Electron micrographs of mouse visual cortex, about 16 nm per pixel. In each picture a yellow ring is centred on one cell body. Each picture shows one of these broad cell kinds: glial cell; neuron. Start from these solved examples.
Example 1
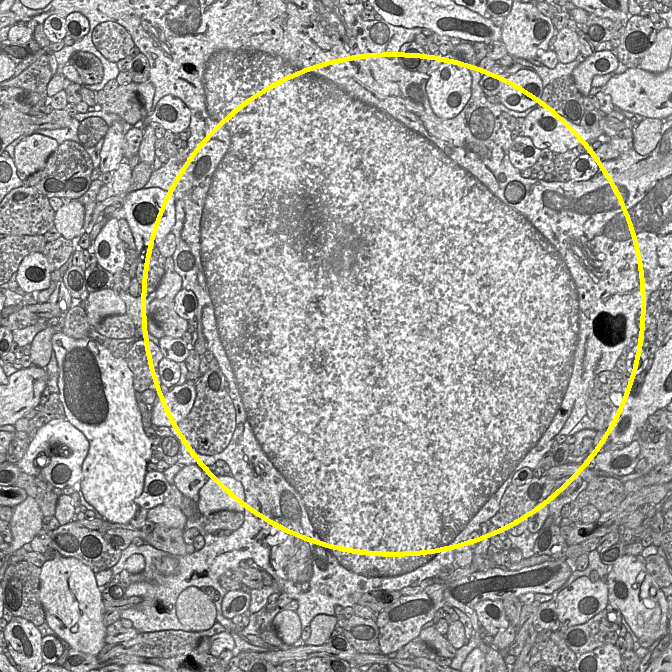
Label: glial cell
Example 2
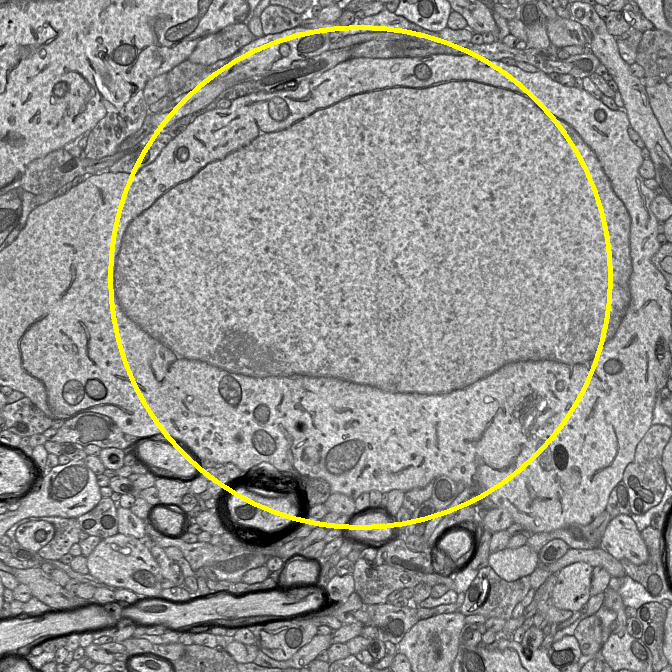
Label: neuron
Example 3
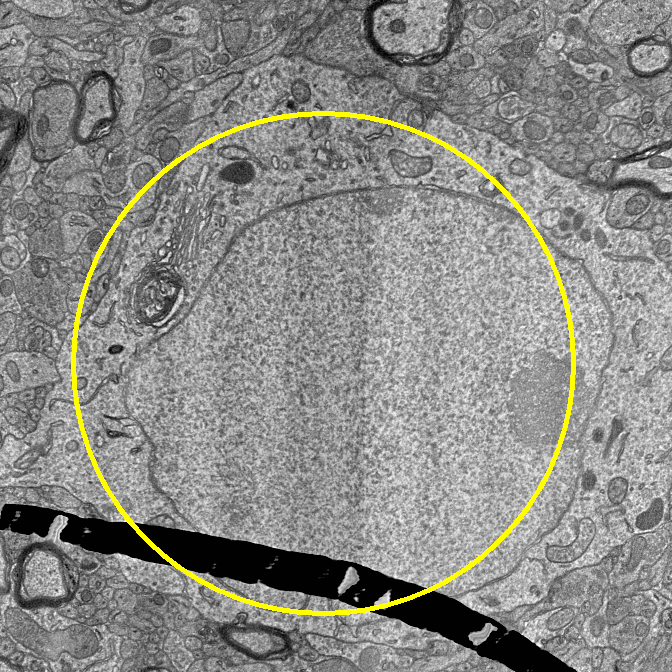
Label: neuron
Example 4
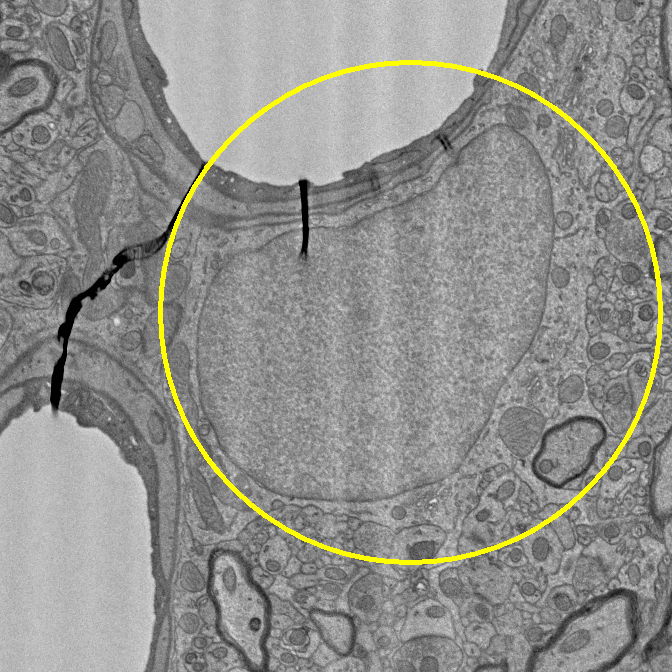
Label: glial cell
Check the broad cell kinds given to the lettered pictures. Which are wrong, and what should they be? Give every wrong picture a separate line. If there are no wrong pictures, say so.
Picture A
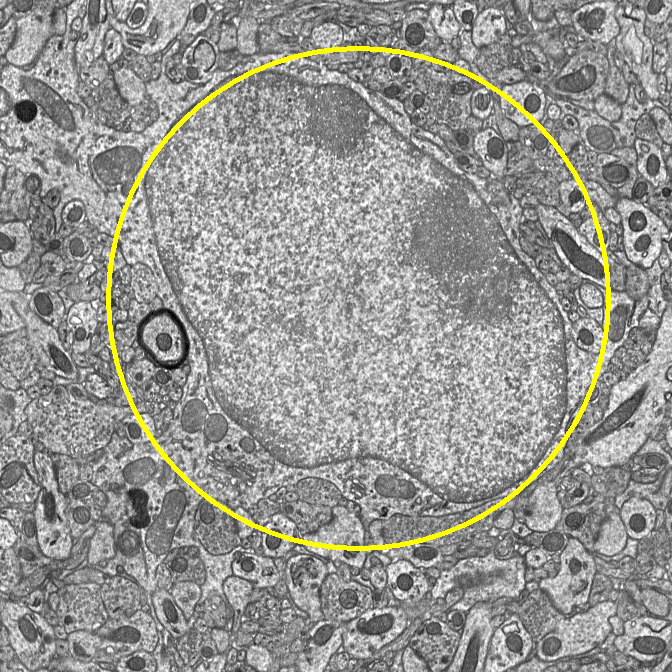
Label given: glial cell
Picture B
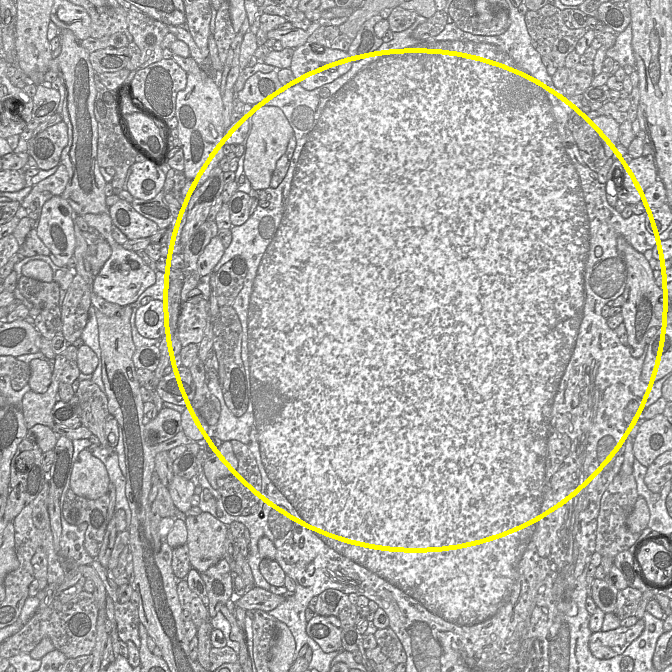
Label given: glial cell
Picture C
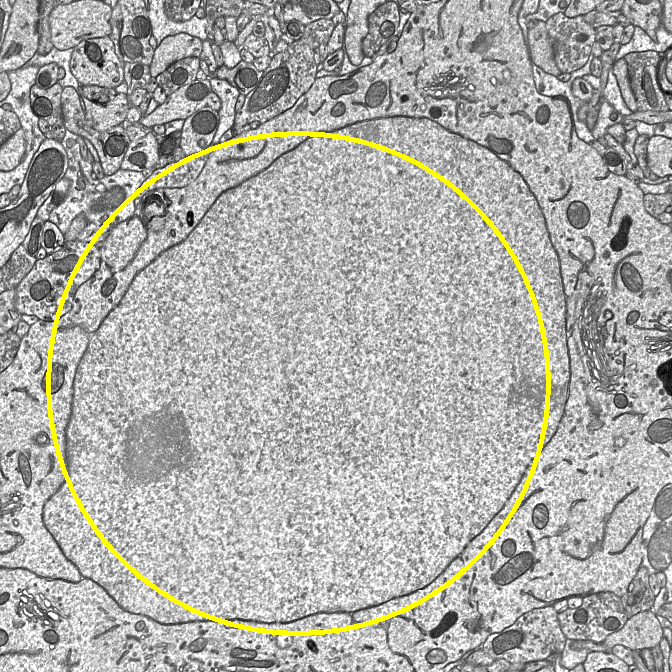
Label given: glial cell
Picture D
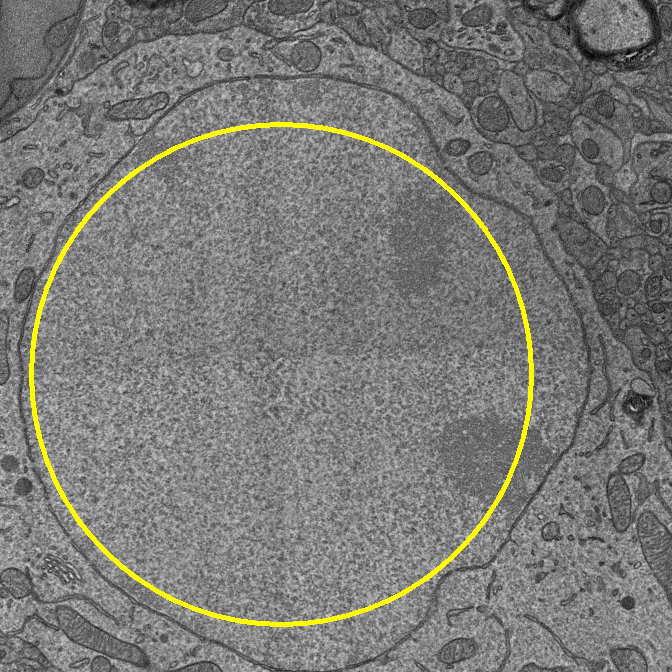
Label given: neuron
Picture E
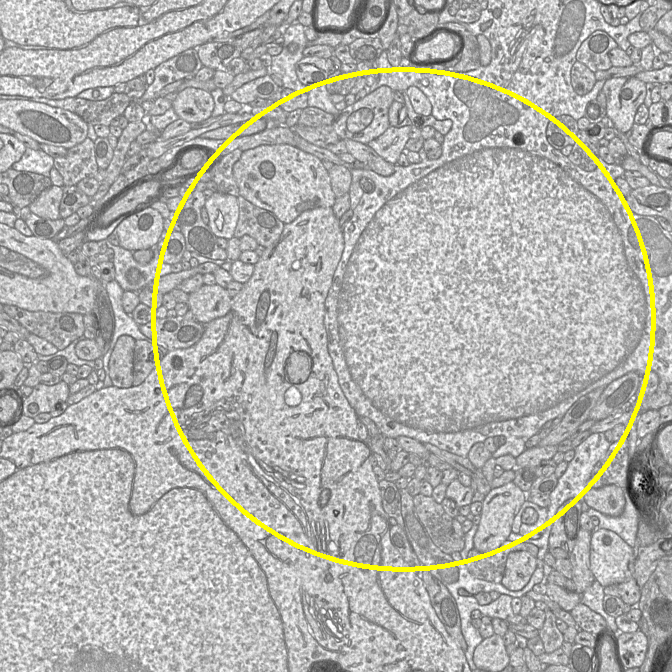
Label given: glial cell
C: not glial cell but neuron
